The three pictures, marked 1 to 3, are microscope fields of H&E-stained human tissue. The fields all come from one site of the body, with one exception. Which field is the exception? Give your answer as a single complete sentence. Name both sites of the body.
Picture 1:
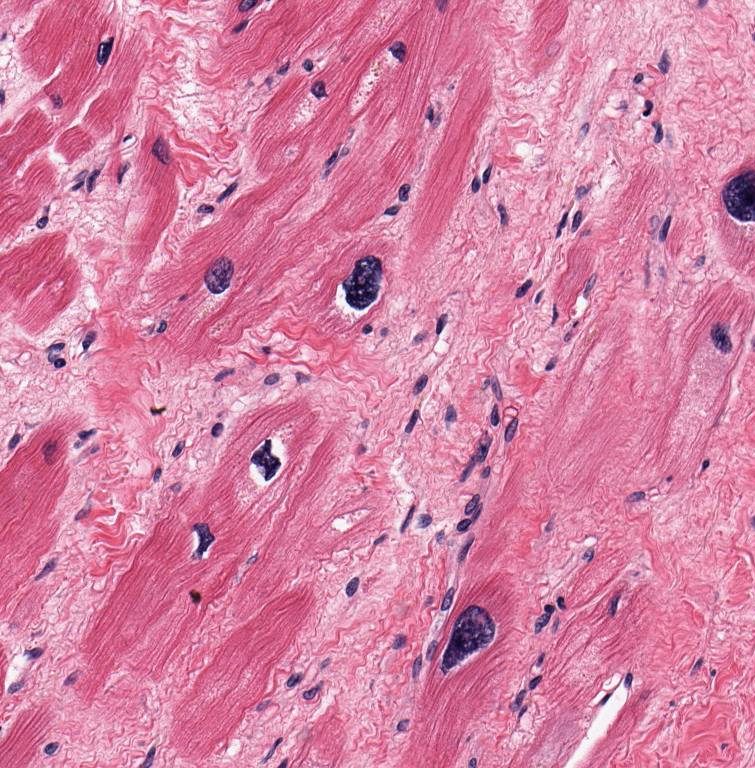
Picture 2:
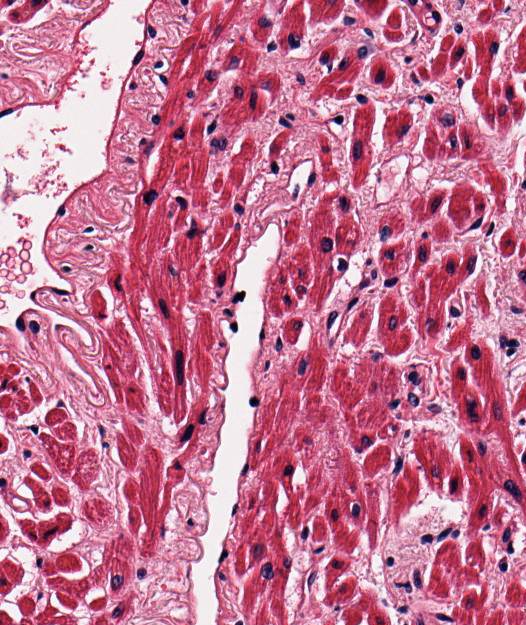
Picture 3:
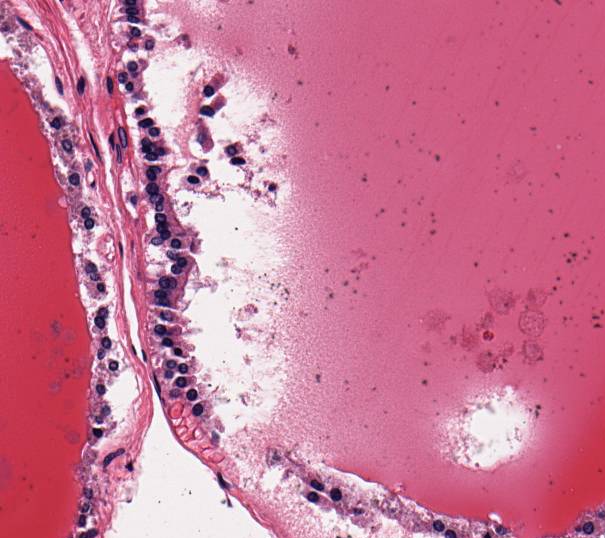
Unlike the rest, which come from the atrial appendage of the heart, picture 3 comes from the thyroid.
